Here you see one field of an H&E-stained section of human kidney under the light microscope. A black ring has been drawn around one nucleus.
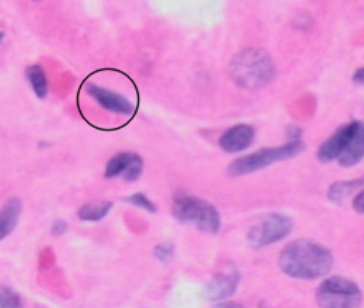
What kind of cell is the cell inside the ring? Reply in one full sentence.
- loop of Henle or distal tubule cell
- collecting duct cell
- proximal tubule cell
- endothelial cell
Histopathologically, the cell inside the ring is an endothelial cell.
